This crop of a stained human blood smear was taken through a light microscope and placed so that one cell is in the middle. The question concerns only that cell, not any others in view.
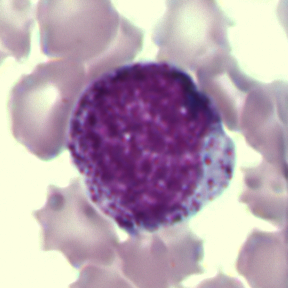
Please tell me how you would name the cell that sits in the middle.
myelocyte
